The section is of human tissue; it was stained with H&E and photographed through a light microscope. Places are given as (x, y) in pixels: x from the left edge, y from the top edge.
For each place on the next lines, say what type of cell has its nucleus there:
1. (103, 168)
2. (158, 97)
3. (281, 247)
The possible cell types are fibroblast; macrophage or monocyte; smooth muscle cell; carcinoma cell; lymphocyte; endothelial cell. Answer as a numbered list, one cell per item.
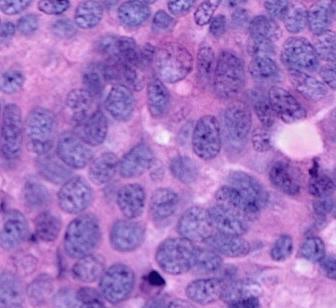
1. carcinoma cell
2. carcinoma cell
3. macrophage or monocyte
